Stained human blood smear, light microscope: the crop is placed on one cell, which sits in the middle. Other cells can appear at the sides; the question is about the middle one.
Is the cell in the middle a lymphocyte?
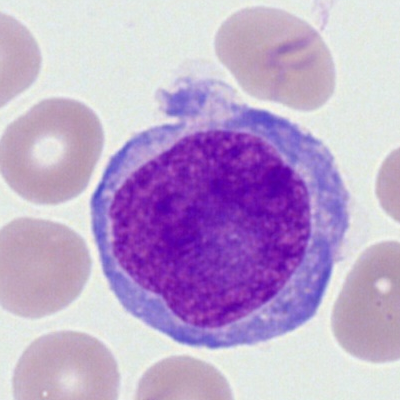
no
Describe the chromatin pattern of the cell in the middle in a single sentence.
The nuclear chromatin is fine, showing no coarse aggregates.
